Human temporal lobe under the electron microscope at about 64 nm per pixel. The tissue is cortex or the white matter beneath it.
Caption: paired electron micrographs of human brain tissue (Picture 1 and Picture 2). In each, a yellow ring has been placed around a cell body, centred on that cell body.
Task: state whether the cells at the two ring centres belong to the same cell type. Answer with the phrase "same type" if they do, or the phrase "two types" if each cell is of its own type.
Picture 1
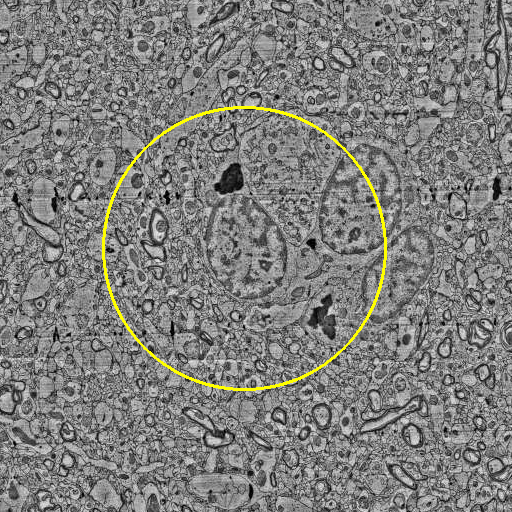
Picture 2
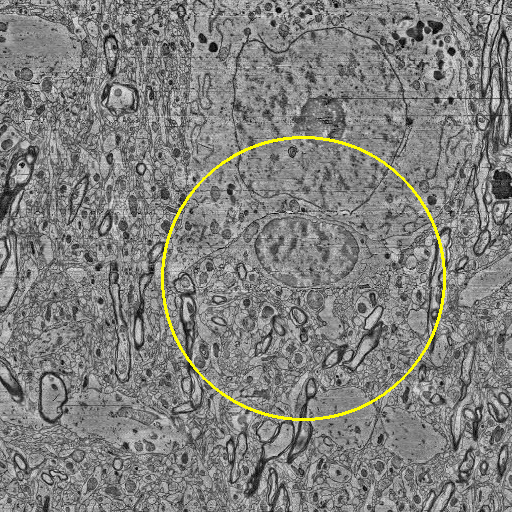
same type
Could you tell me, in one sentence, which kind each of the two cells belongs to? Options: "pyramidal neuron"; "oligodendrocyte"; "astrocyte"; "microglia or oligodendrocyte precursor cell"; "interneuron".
The ring centre holds an oligodendrocyte in each of the two pictures.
